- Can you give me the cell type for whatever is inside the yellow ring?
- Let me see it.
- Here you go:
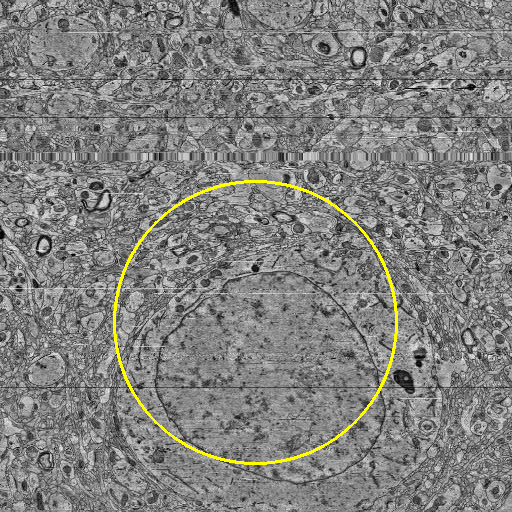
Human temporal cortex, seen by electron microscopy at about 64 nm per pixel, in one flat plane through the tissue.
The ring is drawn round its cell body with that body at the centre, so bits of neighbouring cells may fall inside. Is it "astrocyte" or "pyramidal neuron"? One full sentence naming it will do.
The cell body in the middle of the ring in this picture belongs to a pyramidal neuron.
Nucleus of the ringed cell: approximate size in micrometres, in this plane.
Approximately 14 micrometers across in this plane.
